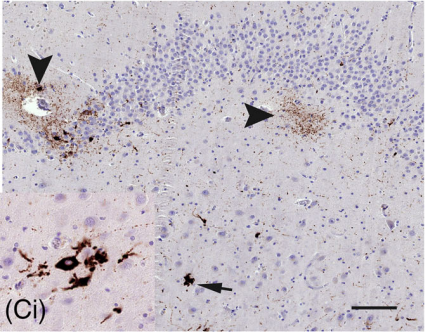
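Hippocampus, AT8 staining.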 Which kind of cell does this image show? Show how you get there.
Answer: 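A dense band of tightly packed small round blue nuclei crosses the top of the panel. Brown granular deposits lie within and at the edge of this band. The answer: granule cells.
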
